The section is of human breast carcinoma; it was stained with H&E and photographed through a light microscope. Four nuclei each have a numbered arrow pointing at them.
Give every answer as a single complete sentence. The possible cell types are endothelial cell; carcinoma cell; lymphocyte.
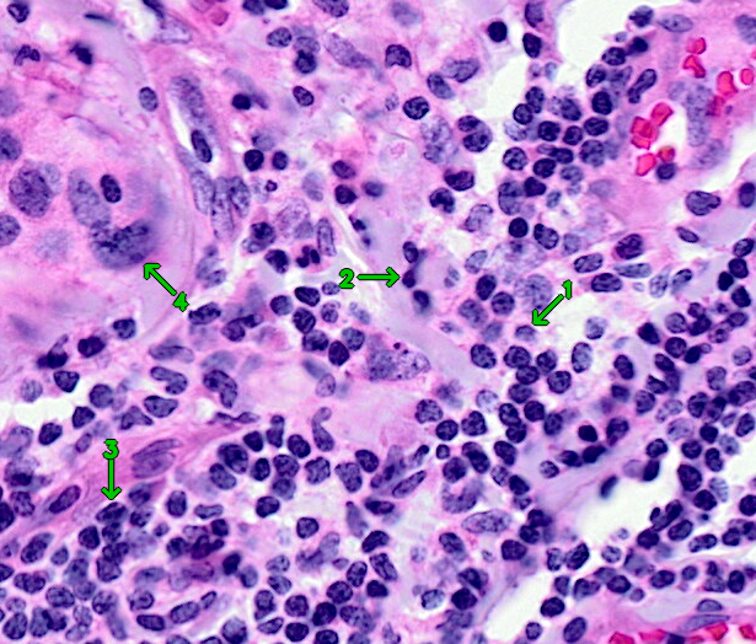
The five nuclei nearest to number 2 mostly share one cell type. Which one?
Of the five nuclei nearest to number 2, most belong to lymphocytes.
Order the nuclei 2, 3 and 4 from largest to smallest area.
From largest to smallest, the order is 4, 3, 2.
